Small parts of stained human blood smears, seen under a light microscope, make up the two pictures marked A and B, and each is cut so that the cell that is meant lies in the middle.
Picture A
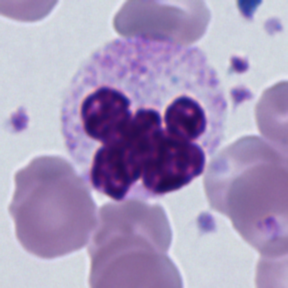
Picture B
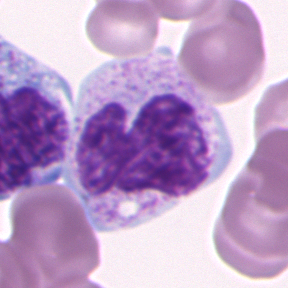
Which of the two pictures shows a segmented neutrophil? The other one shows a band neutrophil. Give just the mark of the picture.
A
